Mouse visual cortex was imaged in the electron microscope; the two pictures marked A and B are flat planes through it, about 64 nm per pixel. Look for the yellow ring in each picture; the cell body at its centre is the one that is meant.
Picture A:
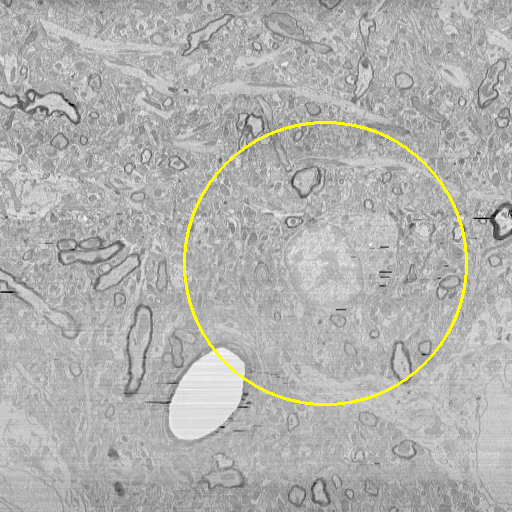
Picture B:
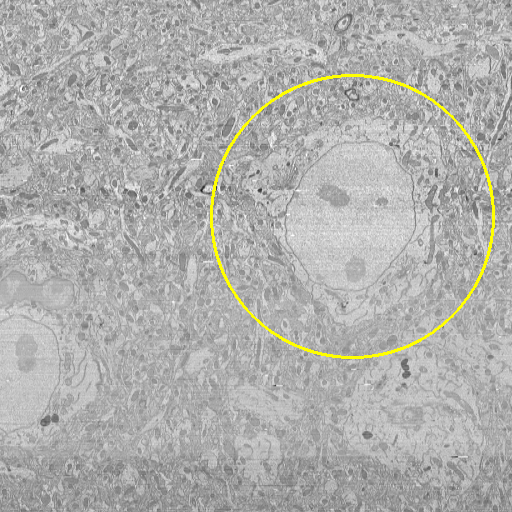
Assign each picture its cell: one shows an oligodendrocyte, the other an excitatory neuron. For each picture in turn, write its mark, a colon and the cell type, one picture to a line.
A: oligodendrocyte
B: excitatory neuron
